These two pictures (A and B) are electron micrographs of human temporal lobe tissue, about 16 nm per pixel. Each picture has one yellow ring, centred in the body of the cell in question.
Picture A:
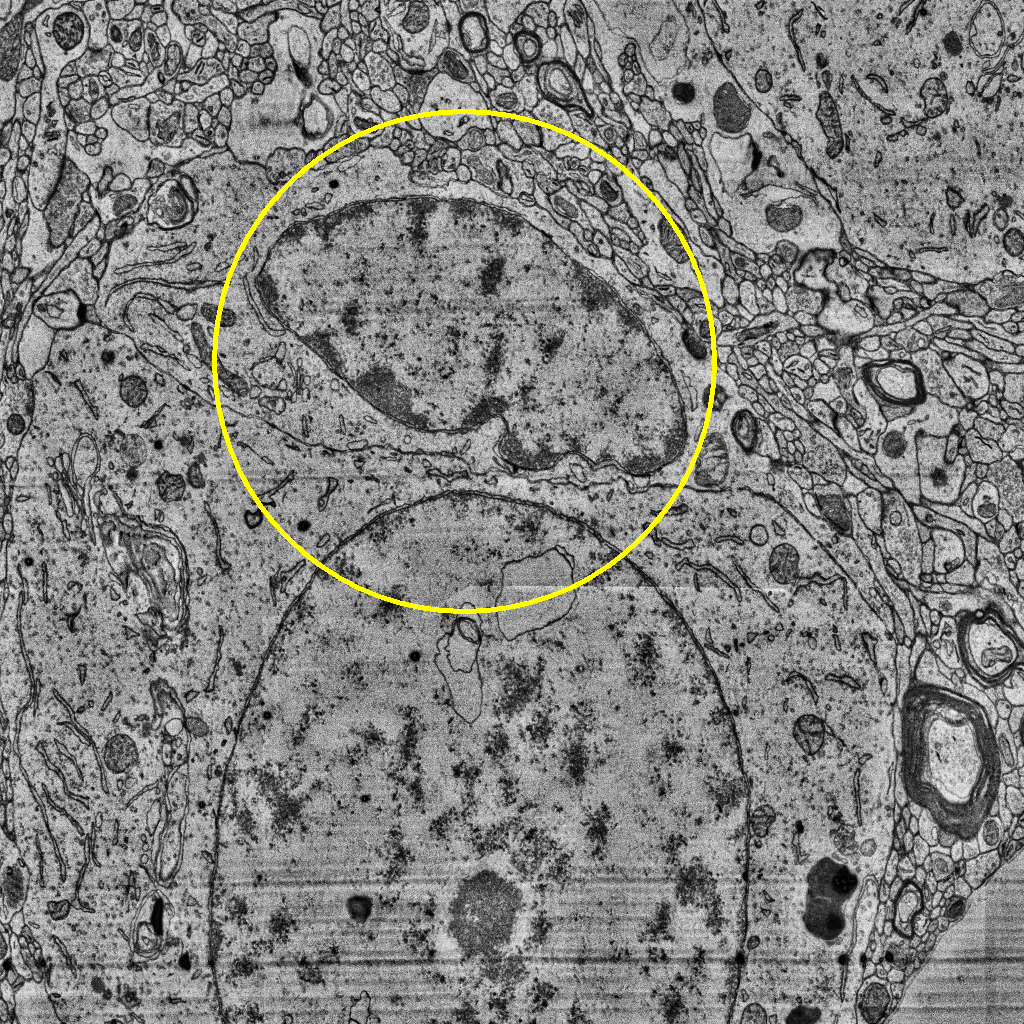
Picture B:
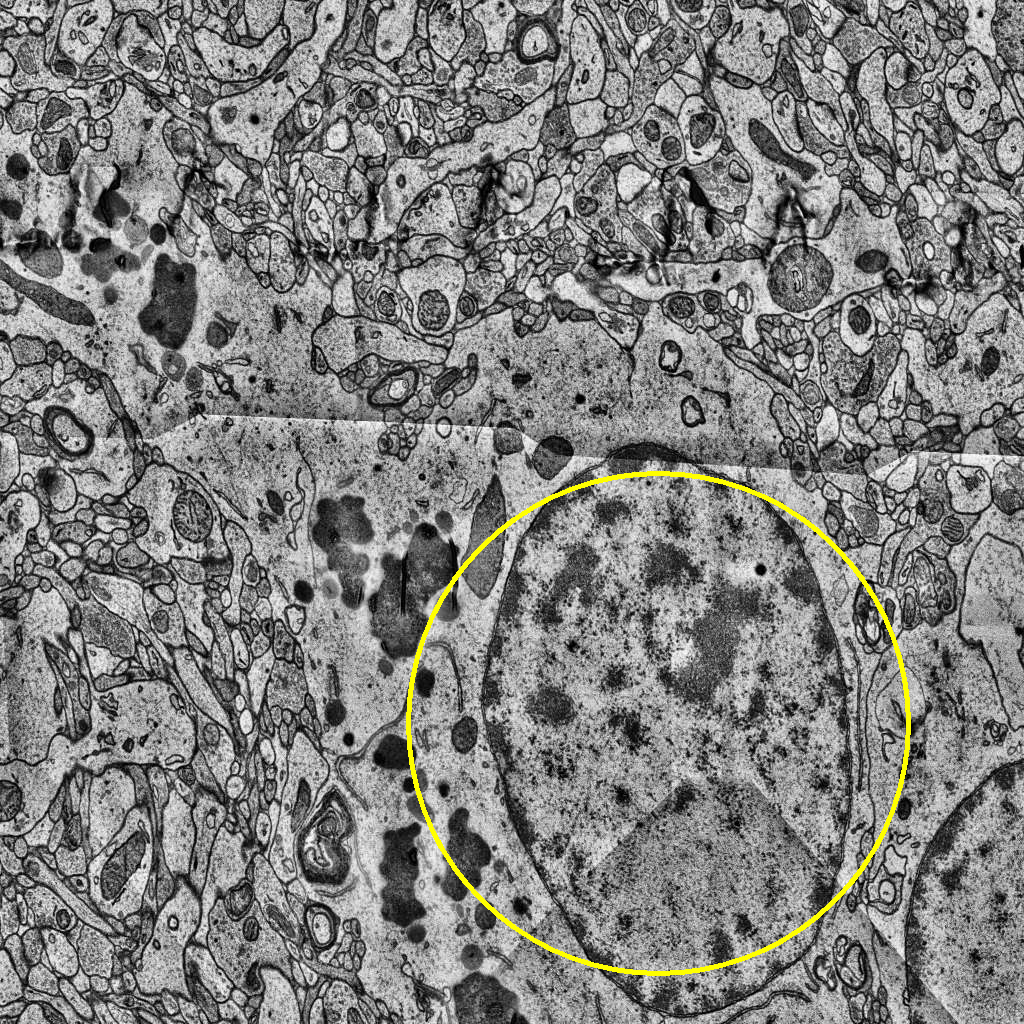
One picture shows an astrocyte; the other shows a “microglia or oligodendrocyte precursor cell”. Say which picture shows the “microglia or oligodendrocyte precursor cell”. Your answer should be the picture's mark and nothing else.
A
